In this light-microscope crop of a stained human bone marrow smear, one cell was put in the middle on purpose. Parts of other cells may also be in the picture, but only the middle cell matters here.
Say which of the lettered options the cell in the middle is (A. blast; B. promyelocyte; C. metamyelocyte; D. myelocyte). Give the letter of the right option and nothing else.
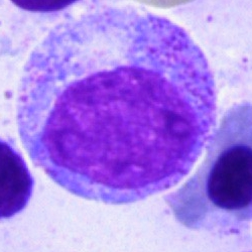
B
